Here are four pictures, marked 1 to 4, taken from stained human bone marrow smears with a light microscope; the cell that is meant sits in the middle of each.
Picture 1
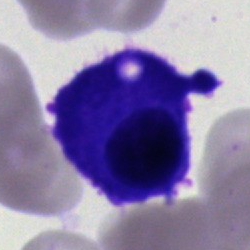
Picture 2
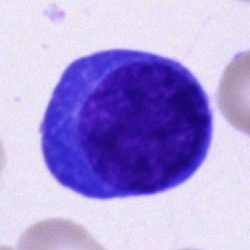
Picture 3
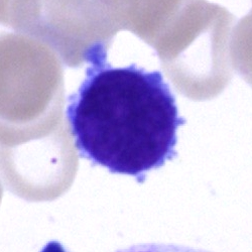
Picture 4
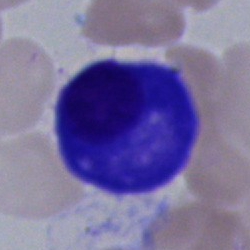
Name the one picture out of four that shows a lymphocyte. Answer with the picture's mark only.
3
